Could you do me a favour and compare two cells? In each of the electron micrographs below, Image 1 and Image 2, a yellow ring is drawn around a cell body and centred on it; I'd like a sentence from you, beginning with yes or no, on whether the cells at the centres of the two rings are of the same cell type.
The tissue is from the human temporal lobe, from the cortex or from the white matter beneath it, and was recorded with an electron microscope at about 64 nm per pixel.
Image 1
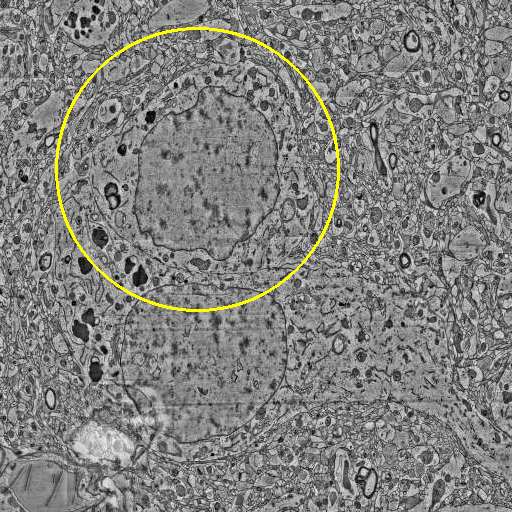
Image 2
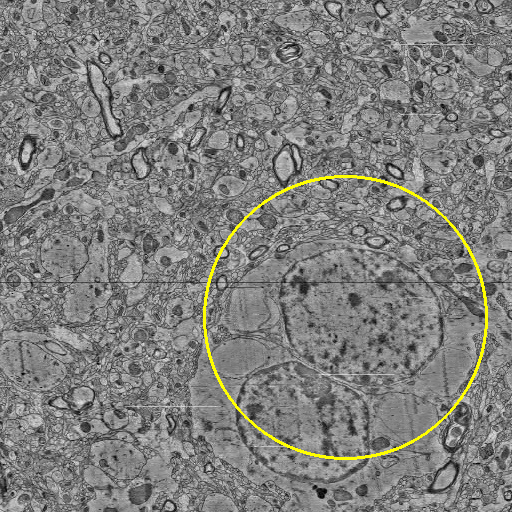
No, the two cells are of two cell types.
